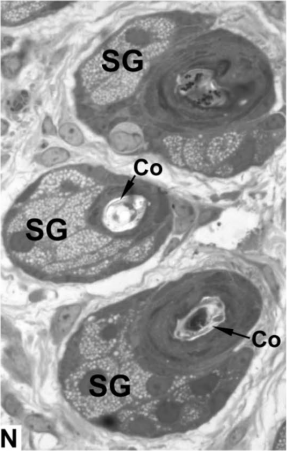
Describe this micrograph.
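Three hair follicles are cut in cross-section, each surrounded by concentric layers of grey epithelial cells and set in loose, pale connective tissue. Each follicle is accompanied by a large sebaceous gland with cells full of fine, foamy vacuoles. The central hair shafts are small, with a thin, pale cortex.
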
